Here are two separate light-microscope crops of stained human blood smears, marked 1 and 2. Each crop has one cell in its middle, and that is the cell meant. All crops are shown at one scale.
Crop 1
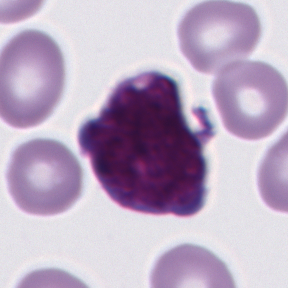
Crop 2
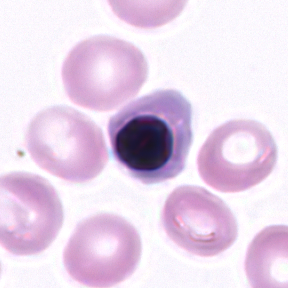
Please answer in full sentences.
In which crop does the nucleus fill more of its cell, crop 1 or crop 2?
The nucleus fills more of the cell in crop 1 than in crop 2.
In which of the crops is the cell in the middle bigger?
It is the cell in crop 1, about 2.5 times as large in area as the cell in crop 2.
